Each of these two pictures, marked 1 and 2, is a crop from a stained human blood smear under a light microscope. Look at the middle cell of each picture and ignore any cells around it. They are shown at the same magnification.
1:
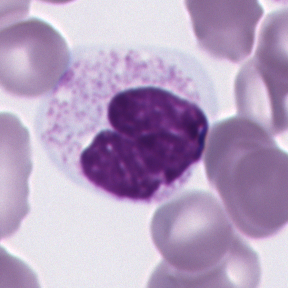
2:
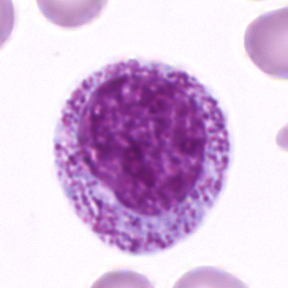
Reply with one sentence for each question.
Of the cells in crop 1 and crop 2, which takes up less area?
Smaller is the cell in crop 1, and the other is about 1.5 times as large in area.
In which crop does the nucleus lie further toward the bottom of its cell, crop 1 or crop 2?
It is the nucleus in crop 1 that lies further toward the bottom of its cell.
